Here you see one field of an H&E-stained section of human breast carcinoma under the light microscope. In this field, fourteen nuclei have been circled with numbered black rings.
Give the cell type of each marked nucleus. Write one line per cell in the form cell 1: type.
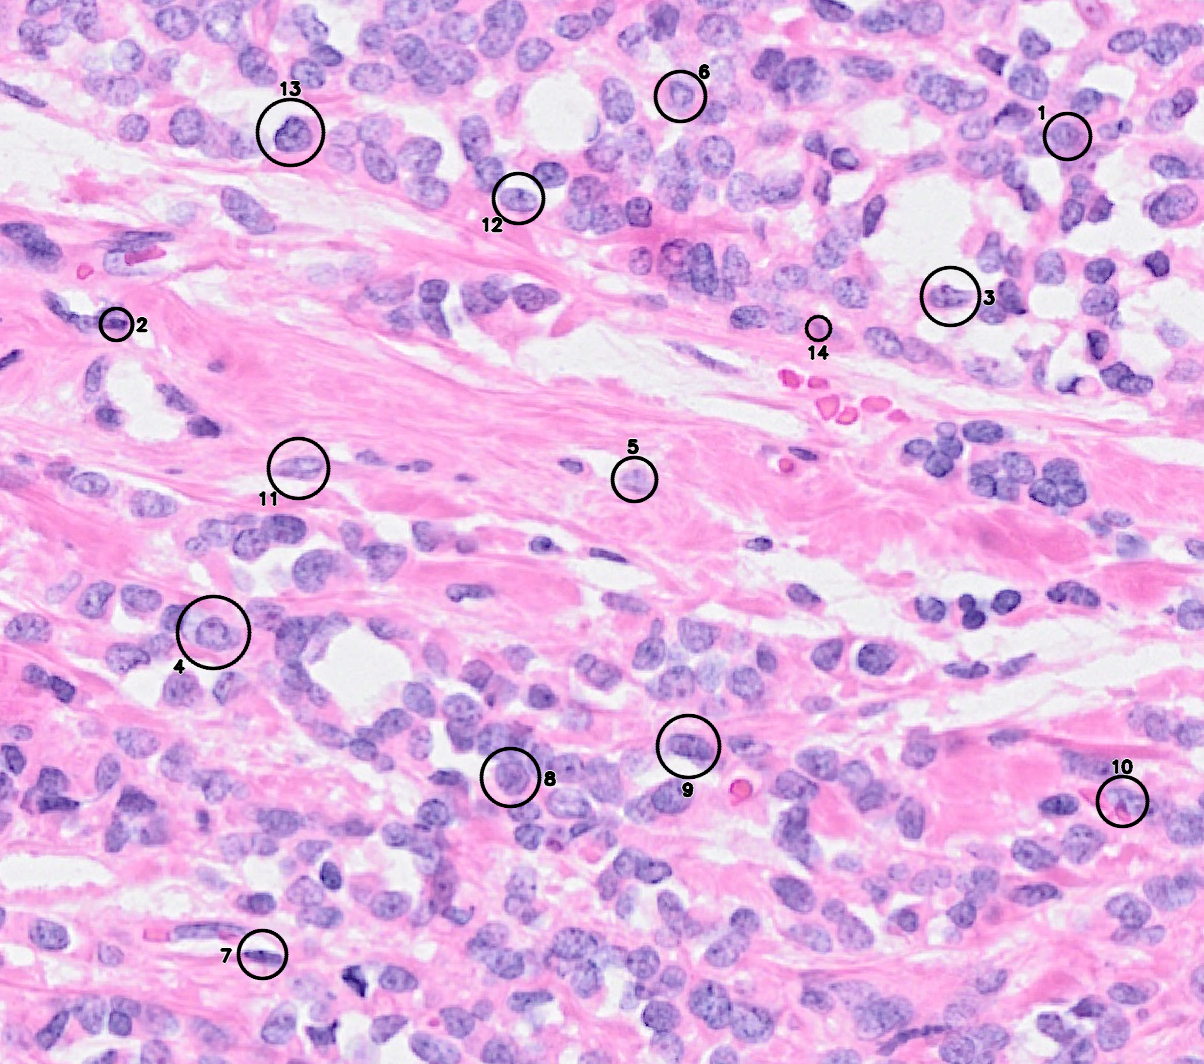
cell 1: carcinoma cell
cell 2: endothelial cell
cell 3: carcinoma cell
cell 4: carcinoma cell
cell 5: fibroblast
cell 6: carcinoma cell
cell 7: endothelial cell
cell 8: carcinoma cell
cell 9: carcinoma cell
cell 10: endothelial cell
cell 11: fibroblast
cell 12: carcinoma cell
cell 13: carcinoma cell
cell 14: endothelial cell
